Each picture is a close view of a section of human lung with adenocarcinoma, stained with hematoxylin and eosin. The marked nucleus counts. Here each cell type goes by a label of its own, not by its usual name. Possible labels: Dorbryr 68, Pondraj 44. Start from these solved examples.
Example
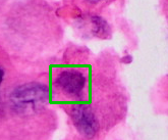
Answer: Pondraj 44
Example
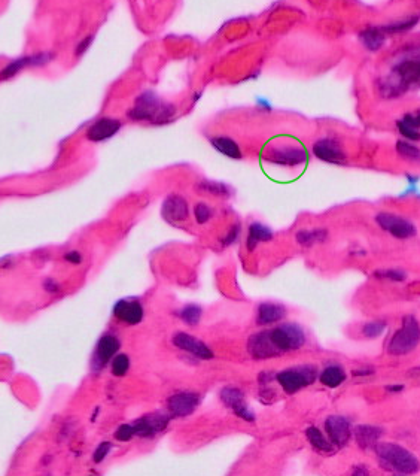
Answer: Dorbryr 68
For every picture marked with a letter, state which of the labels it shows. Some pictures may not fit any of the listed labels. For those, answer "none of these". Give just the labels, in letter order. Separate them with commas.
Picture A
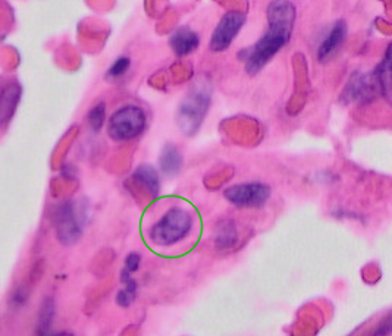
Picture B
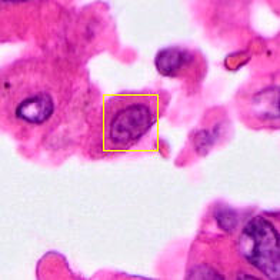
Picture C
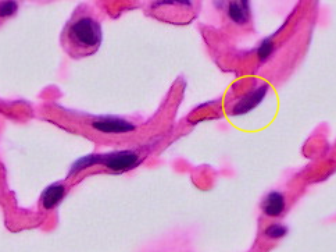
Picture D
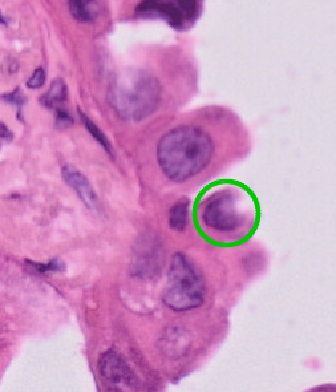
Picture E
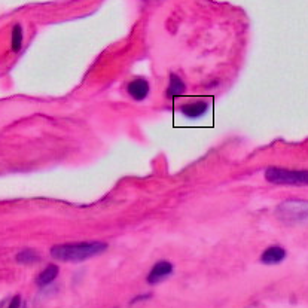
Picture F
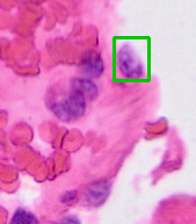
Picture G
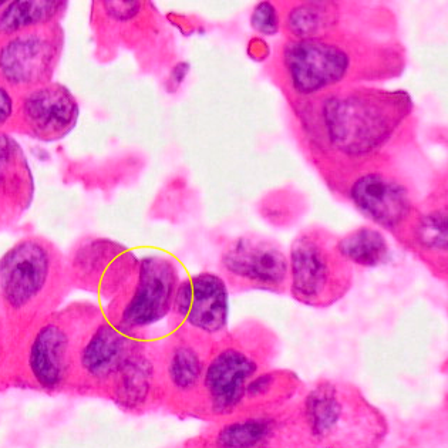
Dorbryr 68, none of these, Dorbryr 68, Pondraj 44, Dorbryr 68, Dorbryr 68, Pondraj 44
